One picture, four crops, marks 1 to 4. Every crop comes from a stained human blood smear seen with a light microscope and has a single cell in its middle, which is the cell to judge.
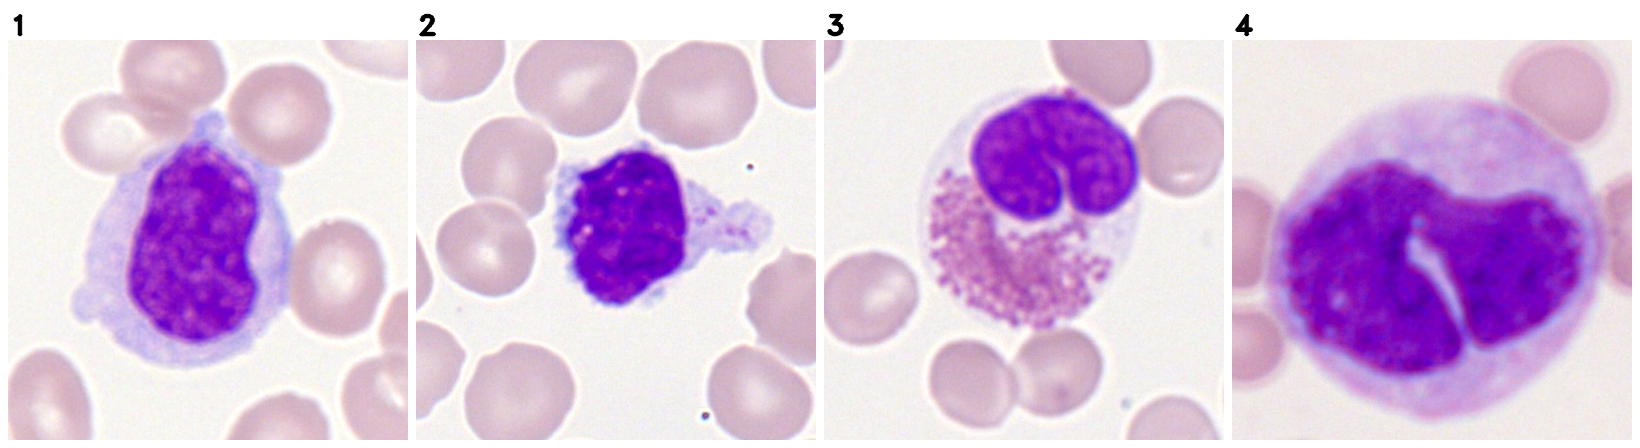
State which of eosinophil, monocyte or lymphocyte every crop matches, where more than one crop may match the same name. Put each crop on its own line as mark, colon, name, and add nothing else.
1: monocyte
2: lymphocyte
3: eosinophil
4: monocyte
